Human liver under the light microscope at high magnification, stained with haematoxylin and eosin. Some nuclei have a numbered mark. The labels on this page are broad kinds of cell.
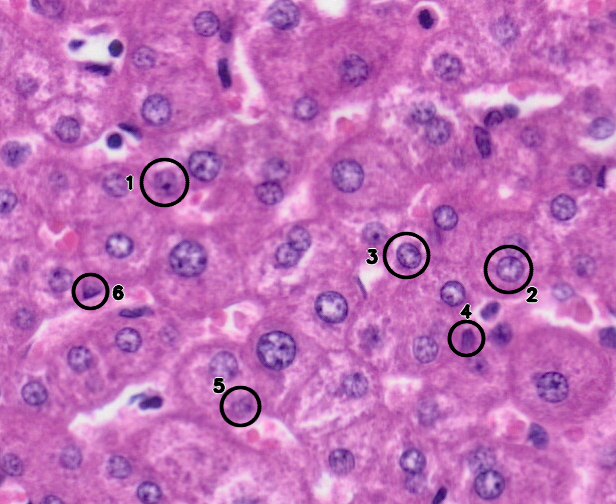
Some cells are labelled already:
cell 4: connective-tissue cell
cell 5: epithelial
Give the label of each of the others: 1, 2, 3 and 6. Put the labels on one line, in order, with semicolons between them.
epithelial; epithelial; epithelial; connective-tissue cell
